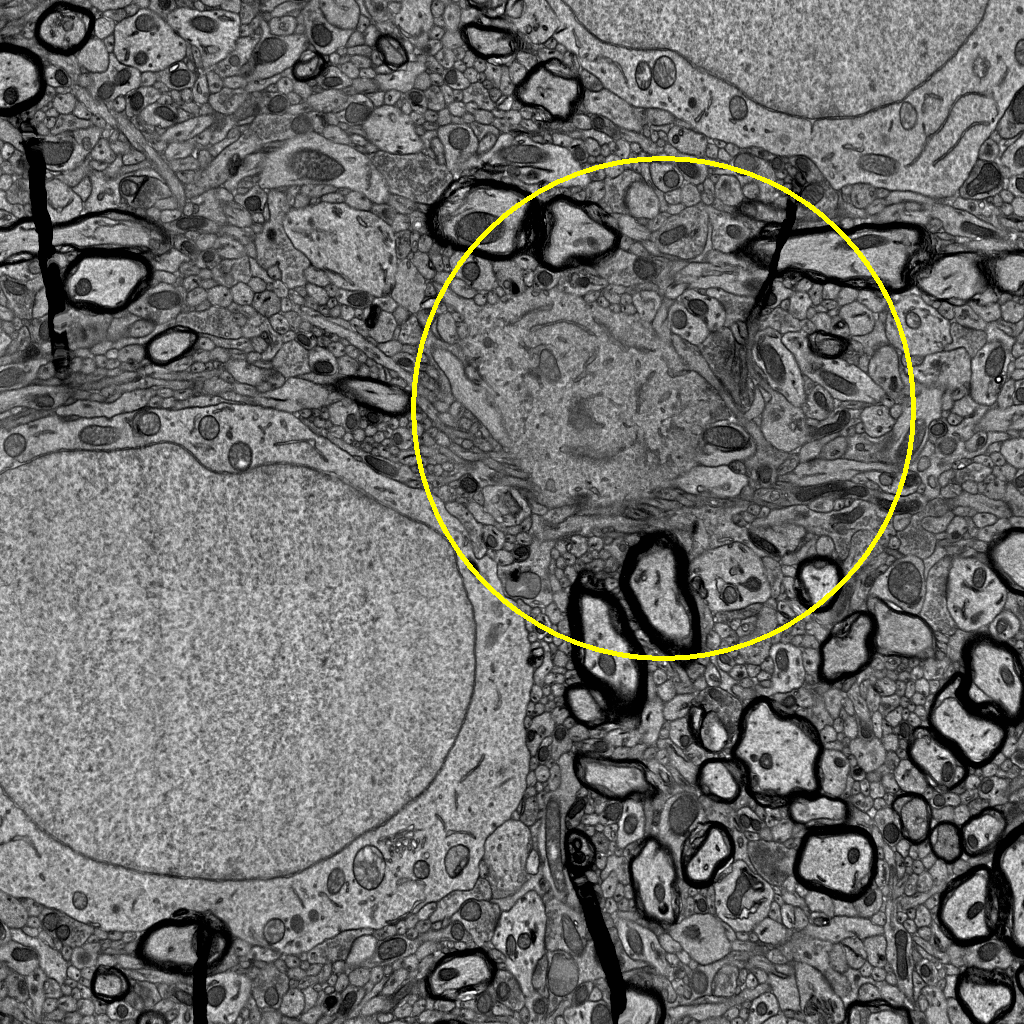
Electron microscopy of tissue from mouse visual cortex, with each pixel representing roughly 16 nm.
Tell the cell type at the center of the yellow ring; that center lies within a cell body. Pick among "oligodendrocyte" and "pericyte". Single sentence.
The ring's center lies in the body of an oligodendrocyte.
